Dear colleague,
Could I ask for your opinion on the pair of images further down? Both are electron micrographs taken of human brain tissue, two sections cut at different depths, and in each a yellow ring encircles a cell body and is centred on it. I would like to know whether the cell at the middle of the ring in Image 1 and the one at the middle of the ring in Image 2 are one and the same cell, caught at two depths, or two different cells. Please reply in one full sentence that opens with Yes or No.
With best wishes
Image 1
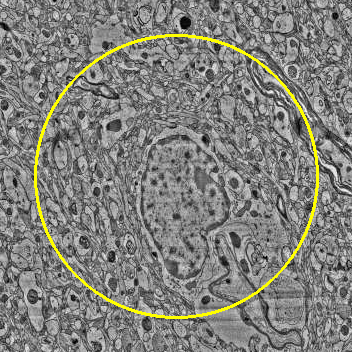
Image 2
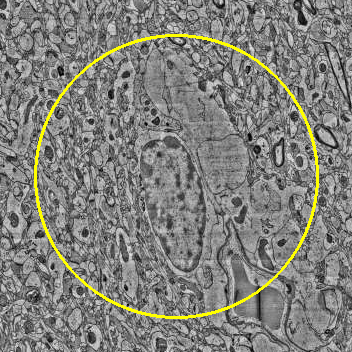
Yes, these two rings point to one cell rather than two.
